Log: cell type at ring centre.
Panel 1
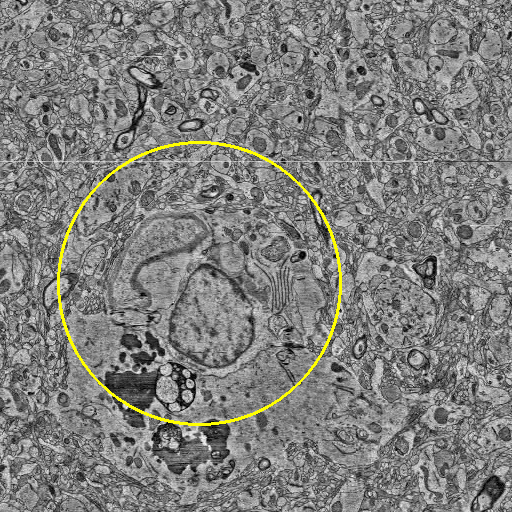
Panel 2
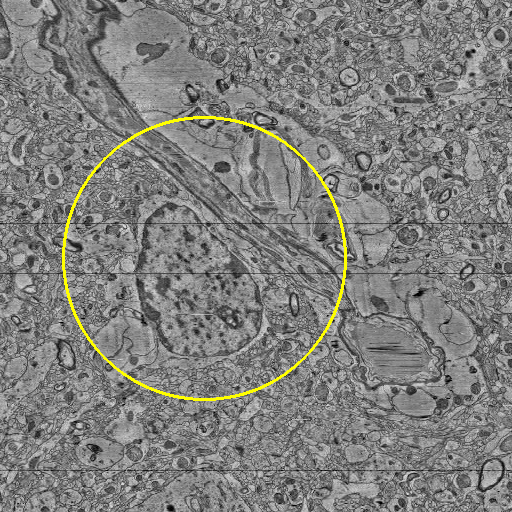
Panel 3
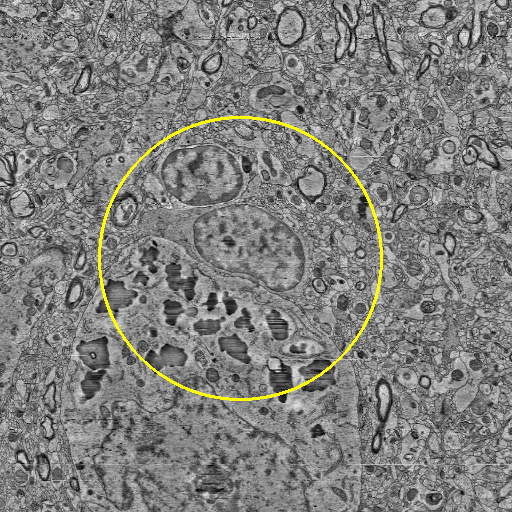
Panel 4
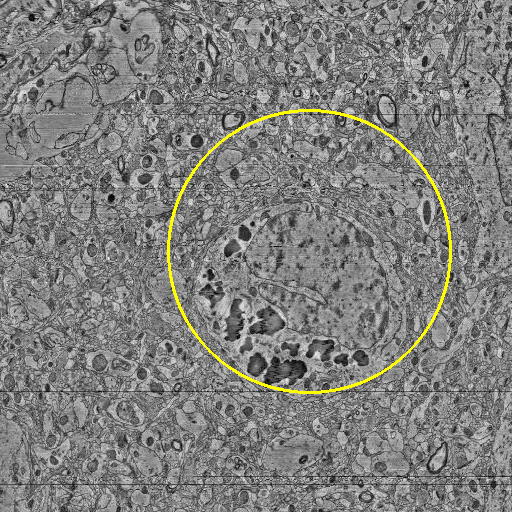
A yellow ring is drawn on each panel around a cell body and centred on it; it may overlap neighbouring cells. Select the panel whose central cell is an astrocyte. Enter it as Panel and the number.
Panel 1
